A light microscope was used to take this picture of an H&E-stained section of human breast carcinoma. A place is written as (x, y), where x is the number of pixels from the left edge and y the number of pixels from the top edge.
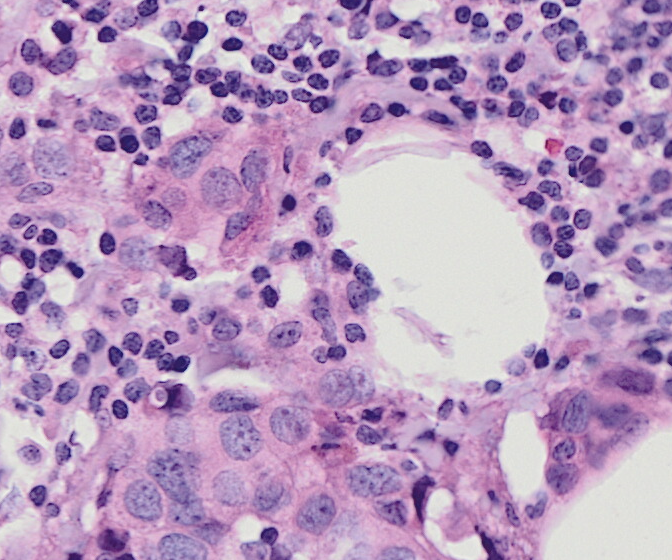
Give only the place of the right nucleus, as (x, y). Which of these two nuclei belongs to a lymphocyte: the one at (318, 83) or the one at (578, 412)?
(318, 83)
